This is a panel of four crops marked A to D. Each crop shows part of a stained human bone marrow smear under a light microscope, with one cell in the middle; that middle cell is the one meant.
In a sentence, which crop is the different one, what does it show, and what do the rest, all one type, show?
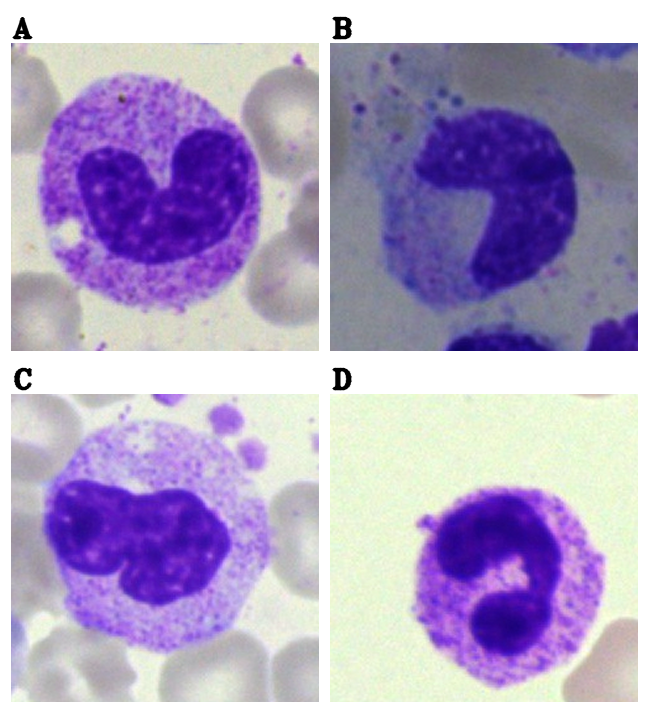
All the crops show band neutrophils, barring crop D, which is a segmented neutrophil.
